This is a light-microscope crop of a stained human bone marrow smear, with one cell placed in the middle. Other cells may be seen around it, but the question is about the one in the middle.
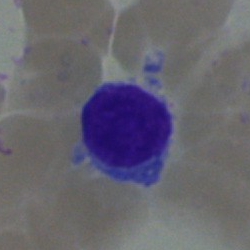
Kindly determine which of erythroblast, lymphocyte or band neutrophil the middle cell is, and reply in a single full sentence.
For this crop, the central cell is a lymphocyte.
